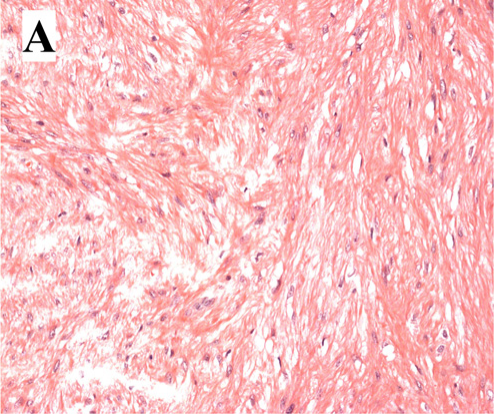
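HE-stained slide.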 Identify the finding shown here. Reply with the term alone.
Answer: Without atypia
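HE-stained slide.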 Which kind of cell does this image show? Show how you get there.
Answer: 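Cells are elongated with tapering ends. Cytoplasm is pink.
Hence: spindle cells.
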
